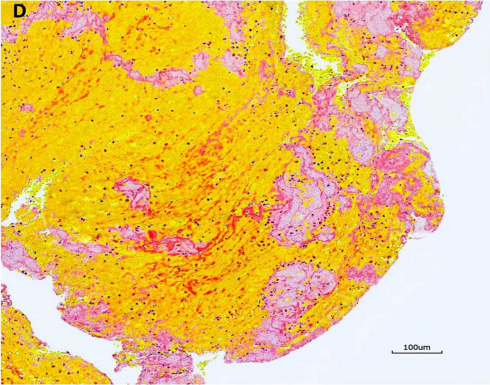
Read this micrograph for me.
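This clot at higher power shows red blood cells, fibrin and platelets in three colours. Most of the mass is yellow-orange, made of packed red blood cells. Bright red strands of fibrin wind through it, and pale pink, granular patches of platelets lie mostly along the outer edge. Small dark nuclei are scattered through all parts.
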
